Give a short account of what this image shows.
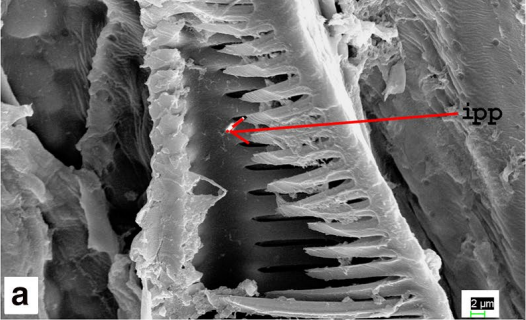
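The end wall of a xylem vessel element is seen from within, bearing a perforation plate of many parallel transverse bars. The bars are thin and strap-like, some reaching across the opening while others stop short as projections from the rim, leaving long dark slits between them. The thickened rim of the wall frames the plate on either side.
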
